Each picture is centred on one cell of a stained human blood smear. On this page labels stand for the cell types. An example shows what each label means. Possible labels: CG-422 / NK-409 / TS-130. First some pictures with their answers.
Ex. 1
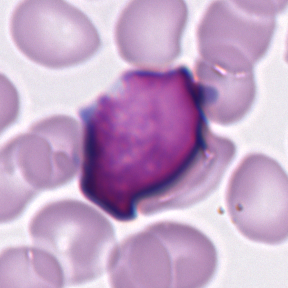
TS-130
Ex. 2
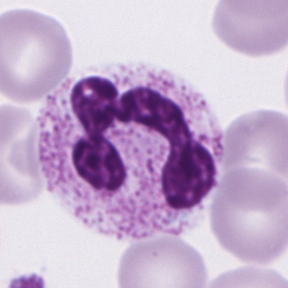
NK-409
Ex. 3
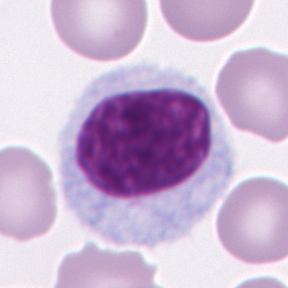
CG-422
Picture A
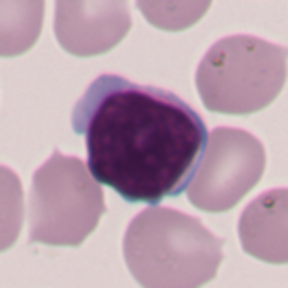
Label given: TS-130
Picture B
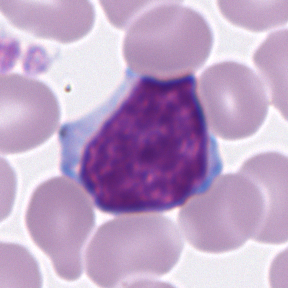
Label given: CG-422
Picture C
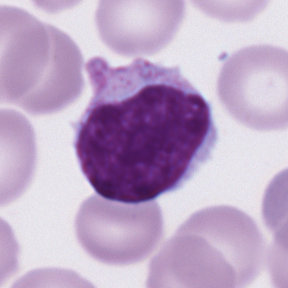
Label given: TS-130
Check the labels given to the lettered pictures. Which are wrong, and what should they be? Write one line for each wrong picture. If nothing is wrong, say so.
B should be TS-130, not CG-422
